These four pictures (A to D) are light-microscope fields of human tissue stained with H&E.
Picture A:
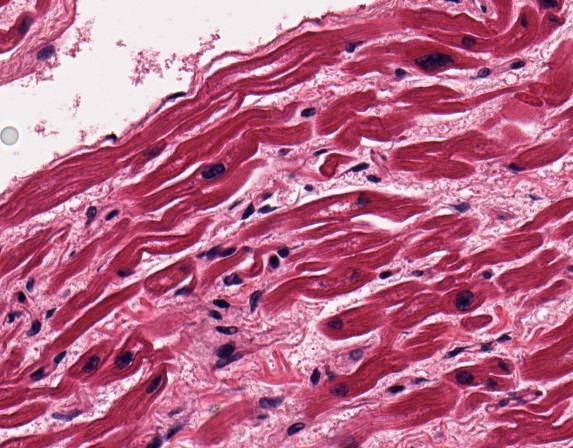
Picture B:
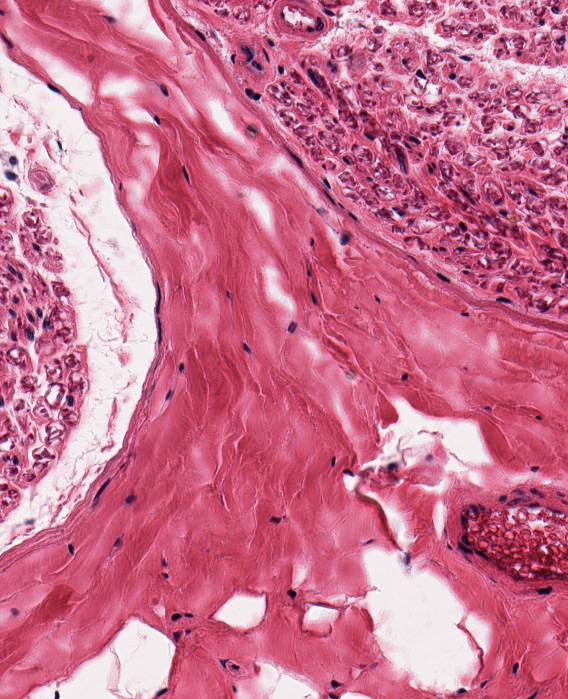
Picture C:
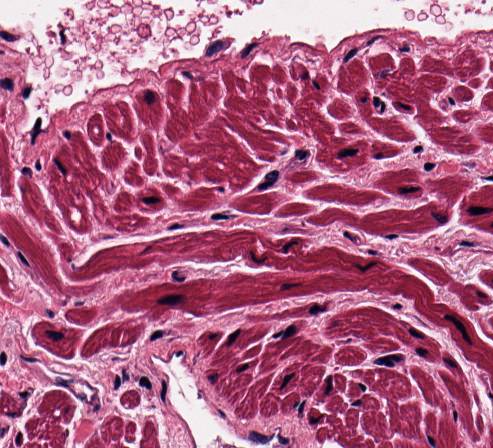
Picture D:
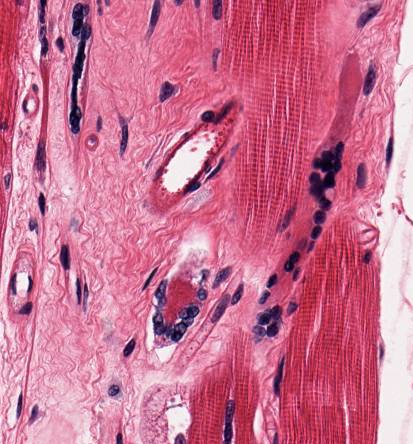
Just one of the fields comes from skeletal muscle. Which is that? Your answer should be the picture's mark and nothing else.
D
